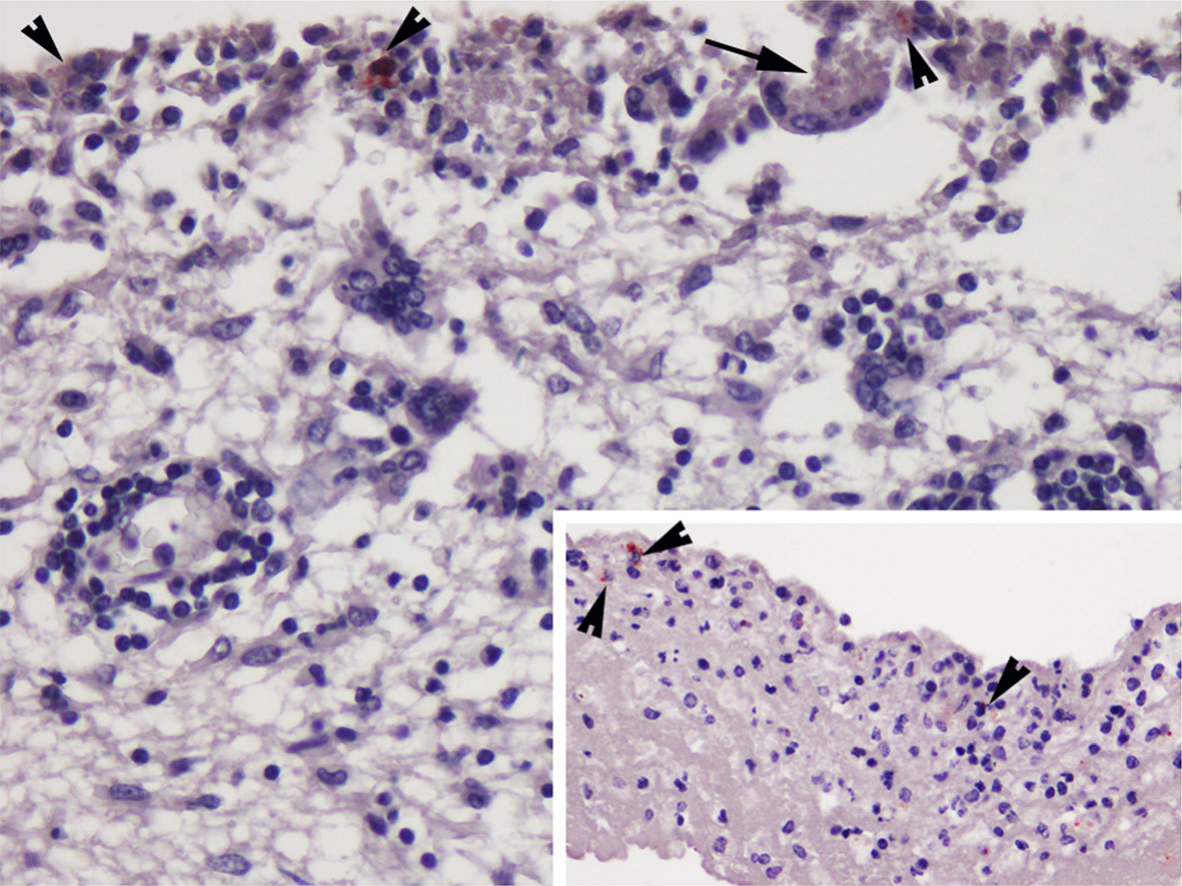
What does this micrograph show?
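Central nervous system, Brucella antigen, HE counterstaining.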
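Meninges and adjacent tissue with a dense inflammatory infiltrate of mononuclear cells. The loose, vacuolated stroma holds many small round cells with dark round nuclei, some gathered in dense collars around a small vessel at lower left and in clusters elsewhere. Larger cells with oval, paler nuclei and more cytoplasm lie among them. Along the upper free surface a few single cells carry reddish-brown granules in their cytoplasm, and a large rounded cell with abundant granular cytoplasm and marginal nuclei projects into a space. The inset shows a similar layer with scattered cells bearing small reddish-brown deposits.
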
